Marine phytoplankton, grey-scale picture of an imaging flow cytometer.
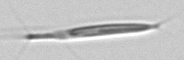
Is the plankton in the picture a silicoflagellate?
No, it is Calciosolenia.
